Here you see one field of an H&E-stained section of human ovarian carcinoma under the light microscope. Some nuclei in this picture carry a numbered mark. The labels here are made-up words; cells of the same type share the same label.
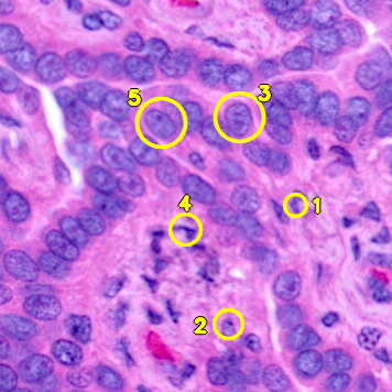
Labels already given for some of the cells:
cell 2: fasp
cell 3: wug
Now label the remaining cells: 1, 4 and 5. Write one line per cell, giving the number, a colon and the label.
1: fasp
4: fasp
5: wug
